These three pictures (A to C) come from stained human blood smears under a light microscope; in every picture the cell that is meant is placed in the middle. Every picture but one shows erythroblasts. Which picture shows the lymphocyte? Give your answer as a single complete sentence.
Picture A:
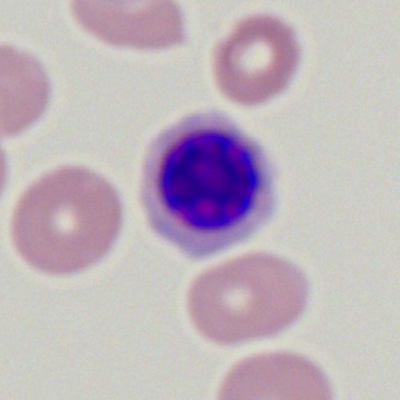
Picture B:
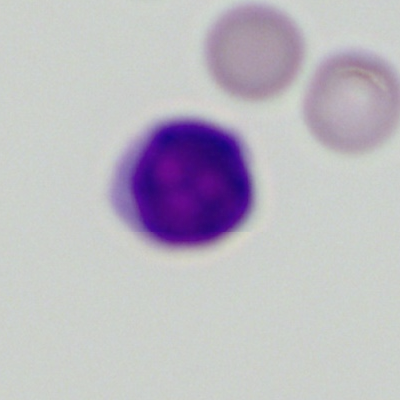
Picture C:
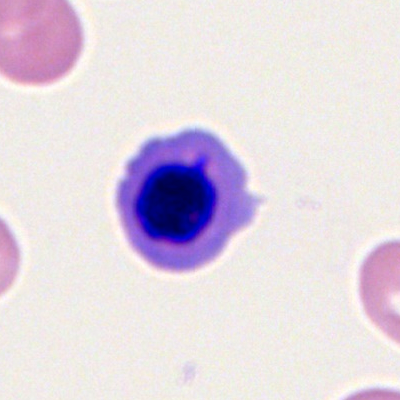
Picture B is the one that shows the lymphocyte.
